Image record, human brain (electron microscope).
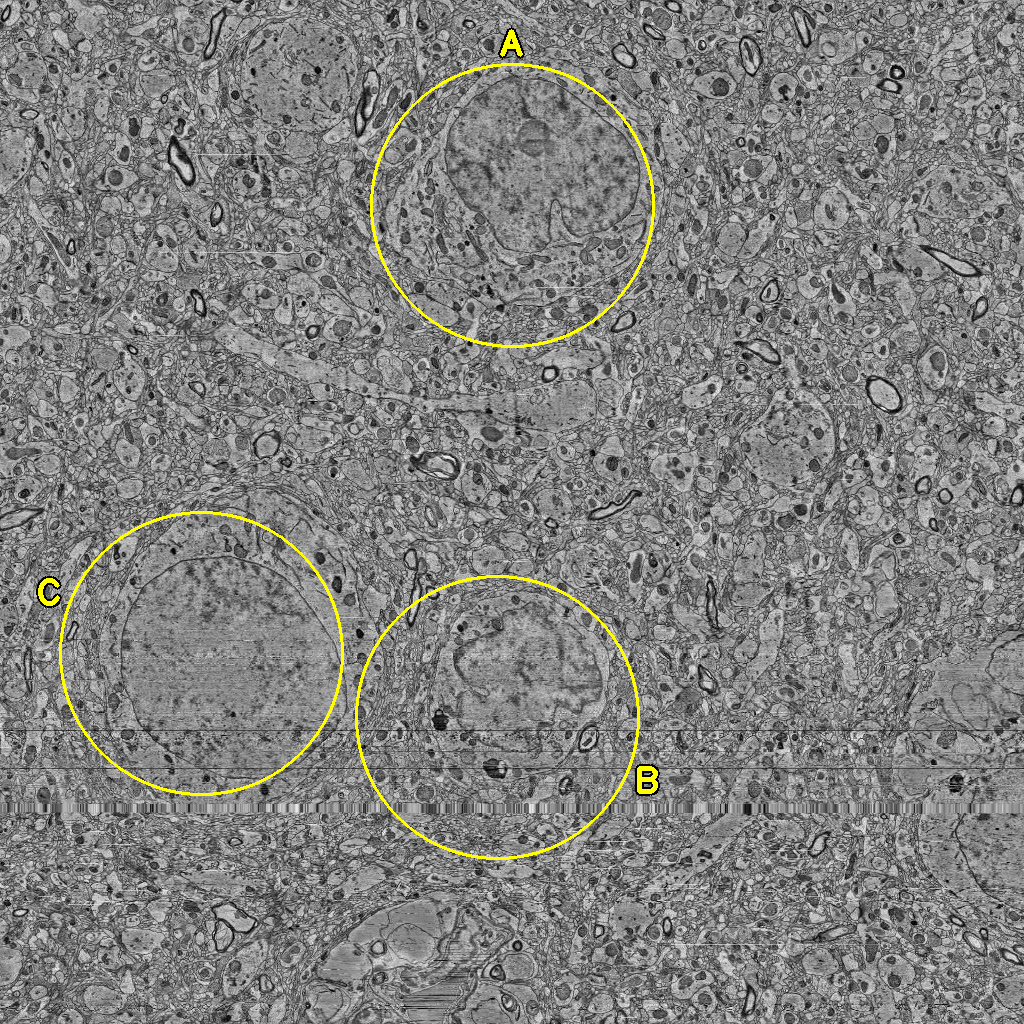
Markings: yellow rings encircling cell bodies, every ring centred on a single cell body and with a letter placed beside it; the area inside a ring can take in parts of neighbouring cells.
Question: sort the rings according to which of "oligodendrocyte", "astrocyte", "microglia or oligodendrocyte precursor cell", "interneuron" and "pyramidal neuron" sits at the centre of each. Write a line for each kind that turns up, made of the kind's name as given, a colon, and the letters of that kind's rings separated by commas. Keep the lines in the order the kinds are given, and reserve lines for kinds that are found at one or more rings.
interneuron: A, B
pyramidal neuron: C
